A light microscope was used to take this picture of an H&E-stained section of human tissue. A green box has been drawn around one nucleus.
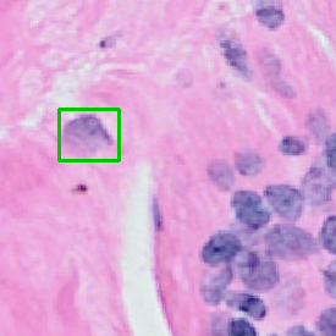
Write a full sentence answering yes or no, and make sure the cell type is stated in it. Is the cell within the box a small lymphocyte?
No, the cell within the box is not a small lymphocyte; the correct answer is a fibroblast.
